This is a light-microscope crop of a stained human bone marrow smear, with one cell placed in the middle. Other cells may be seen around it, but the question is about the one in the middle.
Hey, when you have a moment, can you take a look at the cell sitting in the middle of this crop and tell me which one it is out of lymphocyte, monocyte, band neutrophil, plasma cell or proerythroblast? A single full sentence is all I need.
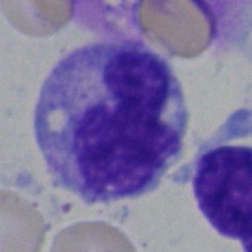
The crop's centre is taken up by a monocyte.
